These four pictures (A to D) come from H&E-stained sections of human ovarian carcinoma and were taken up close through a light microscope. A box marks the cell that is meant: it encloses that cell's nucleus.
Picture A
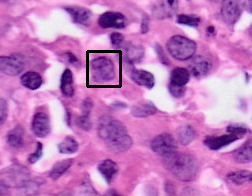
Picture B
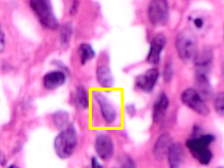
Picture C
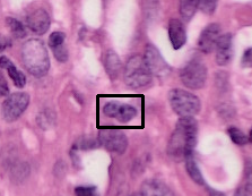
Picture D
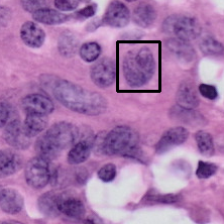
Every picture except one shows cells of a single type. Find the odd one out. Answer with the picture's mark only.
D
